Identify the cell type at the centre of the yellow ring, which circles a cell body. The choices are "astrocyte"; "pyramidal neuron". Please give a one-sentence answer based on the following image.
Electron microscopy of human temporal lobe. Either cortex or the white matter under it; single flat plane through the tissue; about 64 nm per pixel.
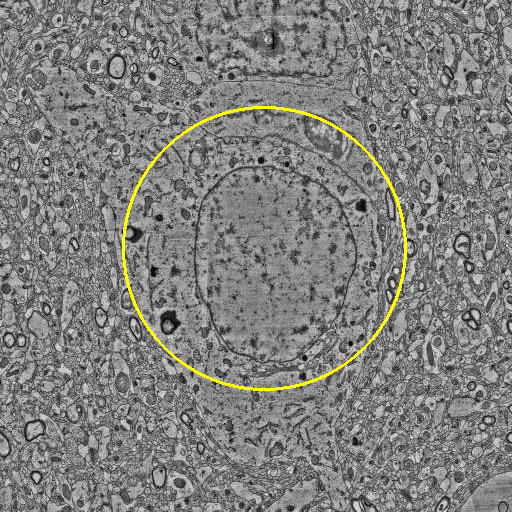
The cell marked by the ring is a pyramidal neuron.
